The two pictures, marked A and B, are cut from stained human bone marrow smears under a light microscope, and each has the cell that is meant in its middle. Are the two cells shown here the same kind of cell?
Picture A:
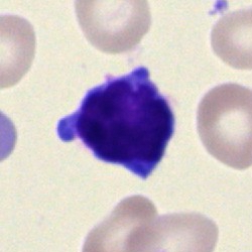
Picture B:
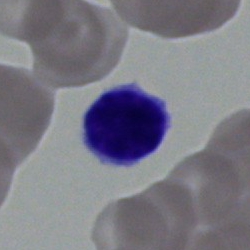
yes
